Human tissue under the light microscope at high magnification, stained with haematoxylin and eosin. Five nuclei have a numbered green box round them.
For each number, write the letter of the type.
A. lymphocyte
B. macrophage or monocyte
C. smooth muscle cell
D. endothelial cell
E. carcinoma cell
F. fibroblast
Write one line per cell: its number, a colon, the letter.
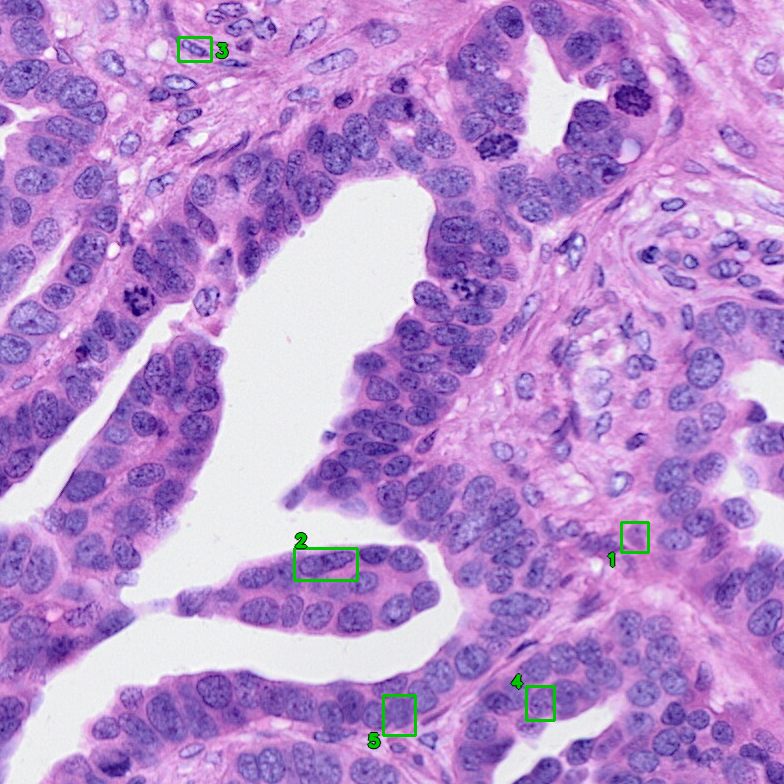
1: F
2: E
3: F
4: E
5: E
